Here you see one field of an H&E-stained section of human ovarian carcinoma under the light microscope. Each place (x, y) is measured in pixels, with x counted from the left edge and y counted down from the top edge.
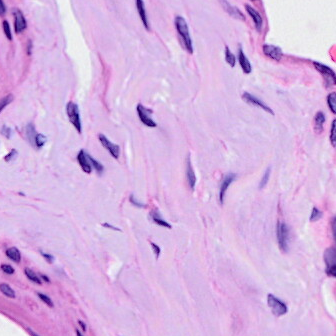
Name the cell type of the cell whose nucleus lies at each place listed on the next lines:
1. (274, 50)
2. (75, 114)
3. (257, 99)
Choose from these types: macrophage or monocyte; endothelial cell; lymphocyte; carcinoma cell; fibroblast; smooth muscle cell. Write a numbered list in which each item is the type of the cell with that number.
1. endothelial cell
2. fibroblast
3. fibroblast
